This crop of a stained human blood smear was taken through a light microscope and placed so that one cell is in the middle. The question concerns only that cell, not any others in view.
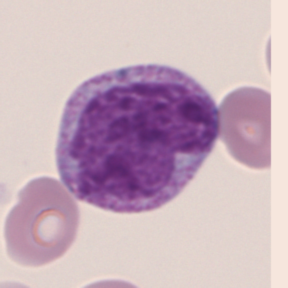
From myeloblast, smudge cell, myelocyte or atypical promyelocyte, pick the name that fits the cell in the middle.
atypical promyelocyte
